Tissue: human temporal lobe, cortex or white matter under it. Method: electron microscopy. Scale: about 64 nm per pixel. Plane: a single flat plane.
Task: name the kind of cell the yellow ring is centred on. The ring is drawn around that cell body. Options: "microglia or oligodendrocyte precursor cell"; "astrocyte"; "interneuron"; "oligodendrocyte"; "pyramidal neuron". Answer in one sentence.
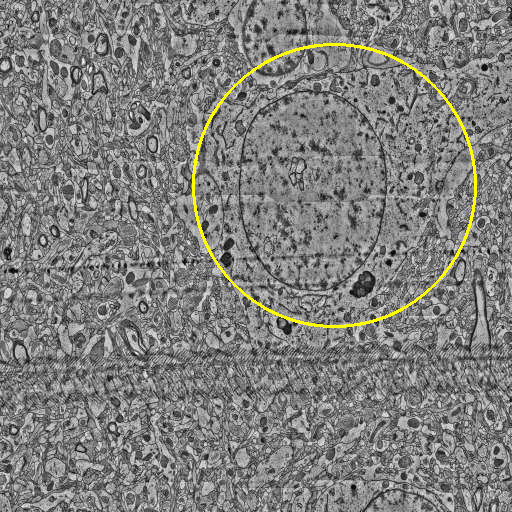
This cell body belongs to a pyramidal neuron.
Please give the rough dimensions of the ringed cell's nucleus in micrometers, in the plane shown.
The nucleus is approximately 13 micrometers long by 10 micrometers wide in this plane.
